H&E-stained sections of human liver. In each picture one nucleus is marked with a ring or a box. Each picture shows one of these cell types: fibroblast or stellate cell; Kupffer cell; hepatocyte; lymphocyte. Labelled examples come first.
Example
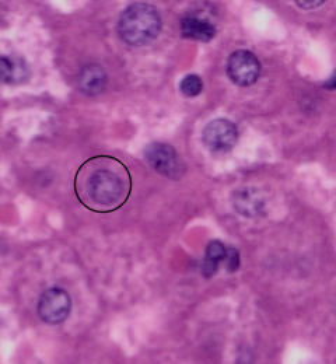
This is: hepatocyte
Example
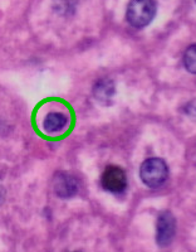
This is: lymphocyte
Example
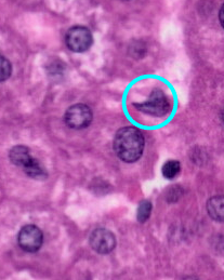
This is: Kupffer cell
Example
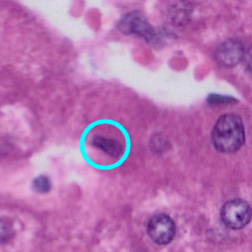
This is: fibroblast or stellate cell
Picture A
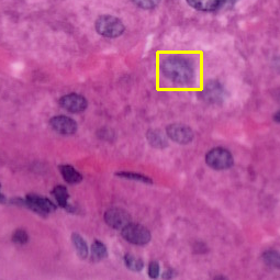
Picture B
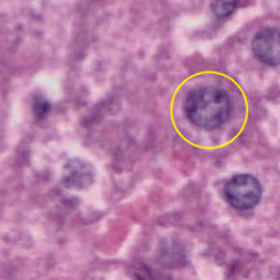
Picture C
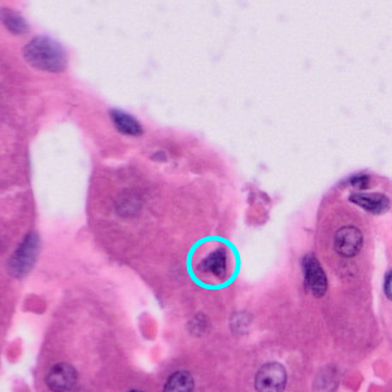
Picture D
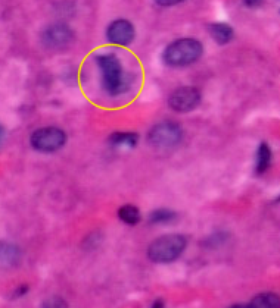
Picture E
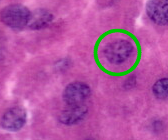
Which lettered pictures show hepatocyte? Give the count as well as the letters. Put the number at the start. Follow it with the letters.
3, namely A, B, E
